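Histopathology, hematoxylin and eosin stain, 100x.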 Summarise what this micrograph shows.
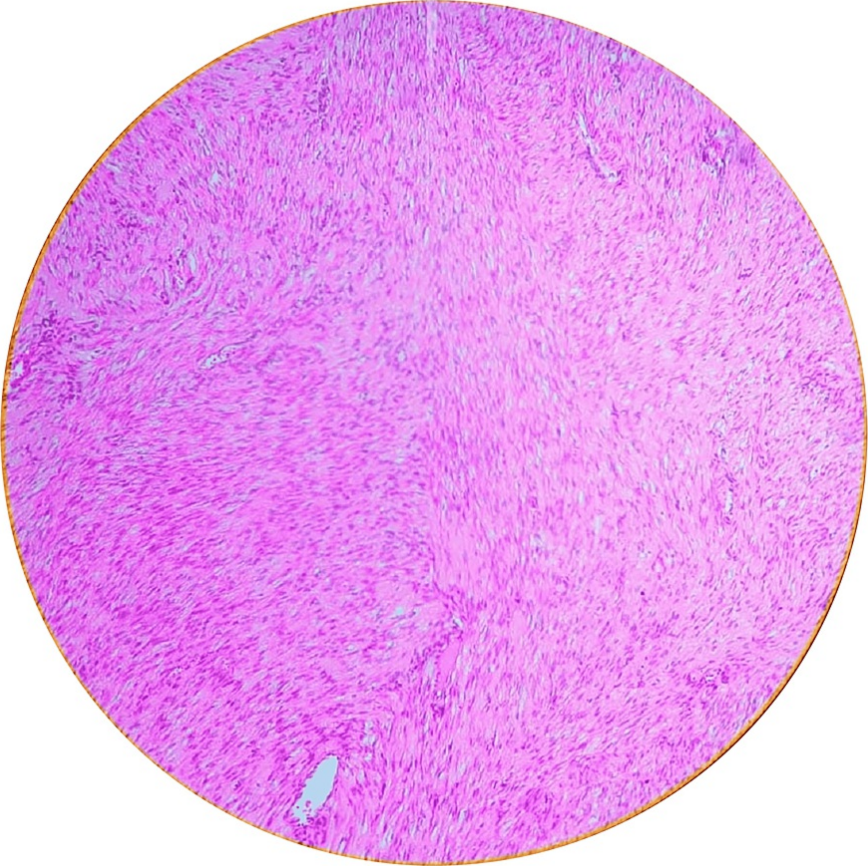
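This low-power view shows a dense proliferation of spindle cells arranged in bundles that sweep and intersect across the whole field. The cells are elongated, with pink cytoplasm and small, dark purple nuclei that are oval to elongated. The cells are packed closely side by side, with no clear layering or glandular structures among them. The bundles run in different directions in different parts of the field, giving a streaming, interlacing pattern. Scattered small blood vessels lie between the bundles. A small clear space sits near the lower edge. No obvious marked nuclear enlargement or dark, irregular nuclei stand out at this magnification.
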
